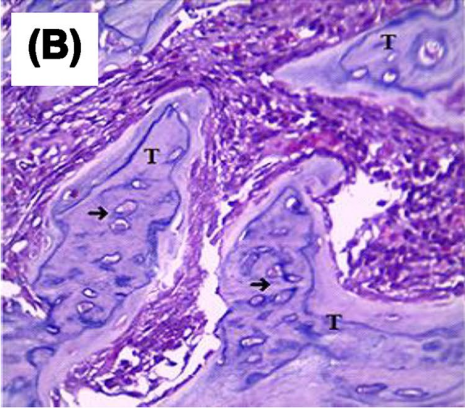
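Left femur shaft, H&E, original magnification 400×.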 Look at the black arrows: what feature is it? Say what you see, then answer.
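The arrows point to clear, rounded to irregular spaces within the bone matrix. Such spaces are scattered throughout the bony trabeculae. On this evidence: lacunae.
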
